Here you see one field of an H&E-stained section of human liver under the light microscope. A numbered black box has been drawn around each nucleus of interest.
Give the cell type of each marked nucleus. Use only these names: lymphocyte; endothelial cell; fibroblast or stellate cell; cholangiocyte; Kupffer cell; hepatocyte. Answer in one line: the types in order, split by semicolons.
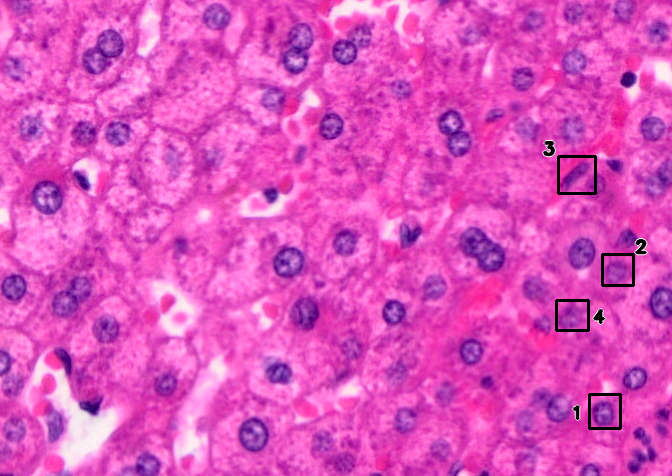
hepatocyte; hepatocyte; Kupffer cell; hepatocyte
